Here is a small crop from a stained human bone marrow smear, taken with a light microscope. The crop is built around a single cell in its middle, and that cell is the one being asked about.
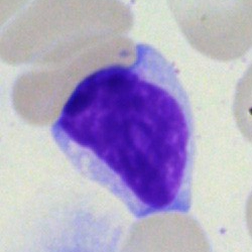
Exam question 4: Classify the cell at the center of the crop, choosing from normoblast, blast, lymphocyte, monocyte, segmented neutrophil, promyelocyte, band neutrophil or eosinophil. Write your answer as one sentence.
Standing at the centre of this crop is a lymphocyte.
